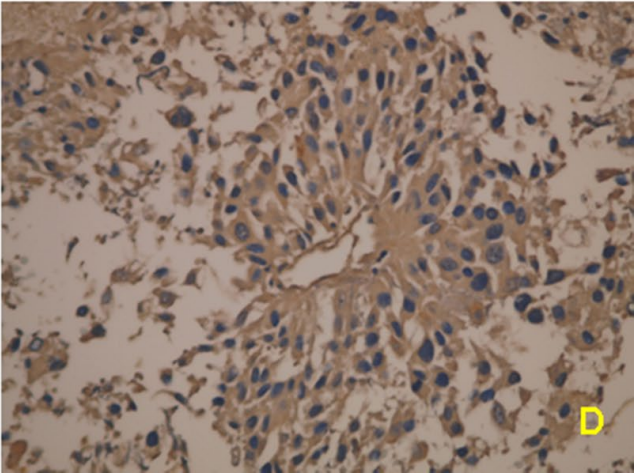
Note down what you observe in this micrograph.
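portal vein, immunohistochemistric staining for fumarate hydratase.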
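These are cancer cells lying loosely in a thrombus, with much empty space around them. The cells vary in size and shape, some elongated and others rounded. Their nuclei are large, oval to irregular and dark blue. In places the cells cluster loosely around a central slit-like space.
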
